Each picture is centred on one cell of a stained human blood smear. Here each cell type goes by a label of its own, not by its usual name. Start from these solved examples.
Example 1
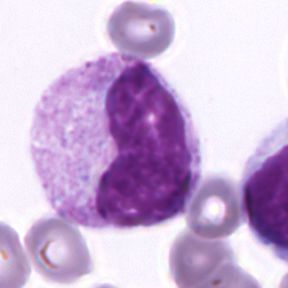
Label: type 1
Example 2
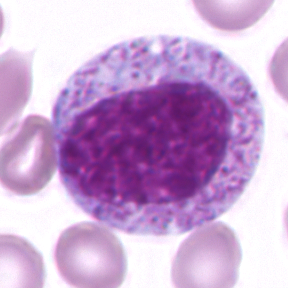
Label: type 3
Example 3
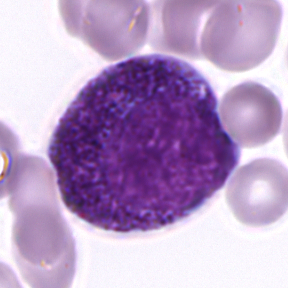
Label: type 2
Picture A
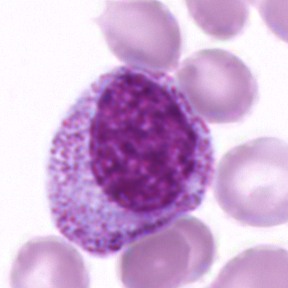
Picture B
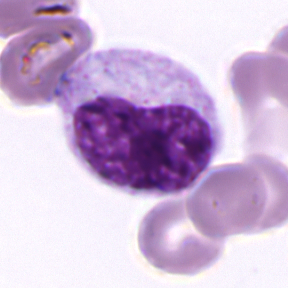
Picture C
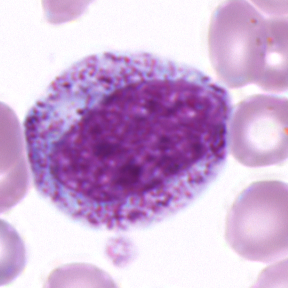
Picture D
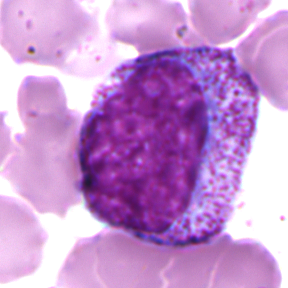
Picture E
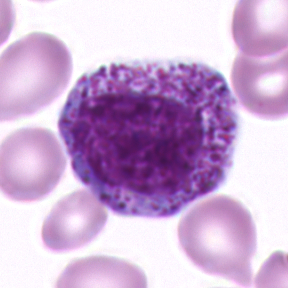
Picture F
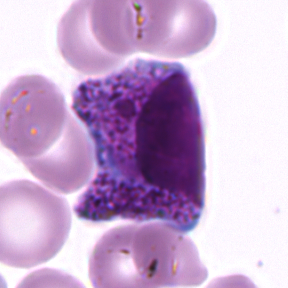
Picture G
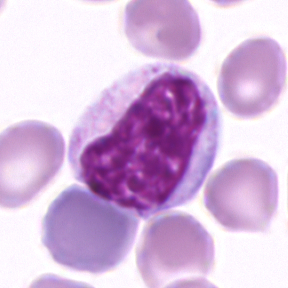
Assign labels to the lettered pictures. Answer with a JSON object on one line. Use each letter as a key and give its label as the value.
{"A": "type 3", "B": "type 1", "C": "type 2", "D": "type 2", "E": "type 2", "F": "type 2", "G": "type 1"}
